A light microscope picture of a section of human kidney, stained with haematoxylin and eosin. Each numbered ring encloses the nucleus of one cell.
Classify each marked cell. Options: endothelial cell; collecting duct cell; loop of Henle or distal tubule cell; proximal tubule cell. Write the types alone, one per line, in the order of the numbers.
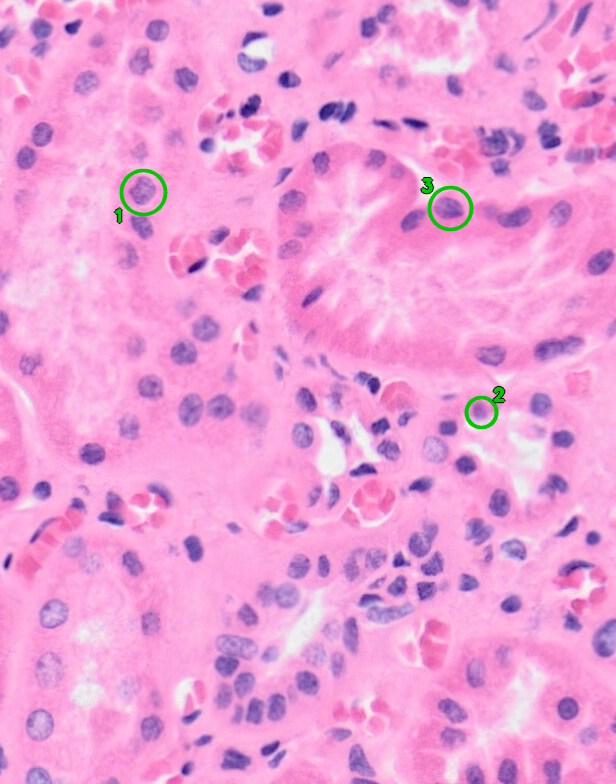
proximal tubule cell
loop of Henle or distal tubule cell
proximal tubule cell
